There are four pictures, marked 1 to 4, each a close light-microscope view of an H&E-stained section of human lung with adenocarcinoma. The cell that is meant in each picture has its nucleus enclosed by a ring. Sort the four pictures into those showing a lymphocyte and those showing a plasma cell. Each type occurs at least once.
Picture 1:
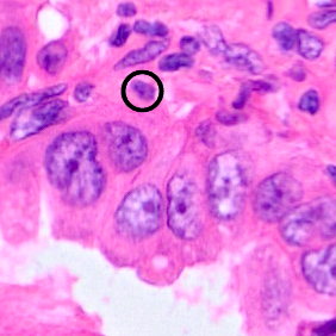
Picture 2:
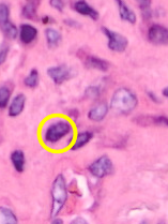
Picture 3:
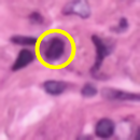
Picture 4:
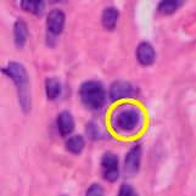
1: lymphocyte
2: plasma cell
3: plasma cell
4: lymphocyte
